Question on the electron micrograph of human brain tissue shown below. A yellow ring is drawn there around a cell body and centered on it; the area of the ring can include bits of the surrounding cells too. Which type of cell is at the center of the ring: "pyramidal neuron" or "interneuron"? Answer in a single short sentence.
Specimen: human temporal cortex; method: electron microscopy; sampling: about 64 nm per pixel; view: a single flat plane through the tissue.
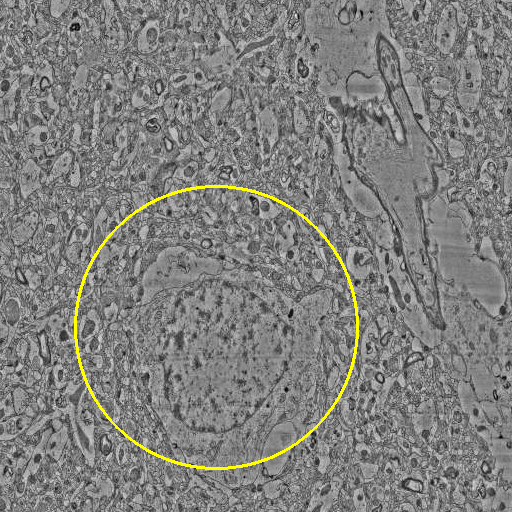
The ring is centered on an interneuron.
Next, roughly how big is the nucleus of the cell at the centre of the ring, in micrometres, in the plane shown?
The nucleus of the ringed cell is approximately 9 micrometres across in this plane.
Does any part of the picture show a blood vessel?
No, no blood vessel can be seen.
